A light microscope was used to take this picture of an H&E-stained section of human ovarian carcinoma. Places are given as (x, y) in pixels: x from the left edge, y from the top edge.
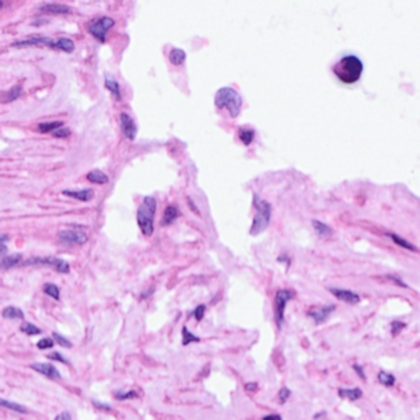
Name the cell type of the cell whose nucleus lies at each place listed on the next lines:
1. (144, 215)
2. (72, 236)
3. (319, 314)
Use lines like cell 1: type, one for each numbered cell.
cell 1: macrophage or monocyte
cell 2: fibroblast
cell 3: fibroblast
